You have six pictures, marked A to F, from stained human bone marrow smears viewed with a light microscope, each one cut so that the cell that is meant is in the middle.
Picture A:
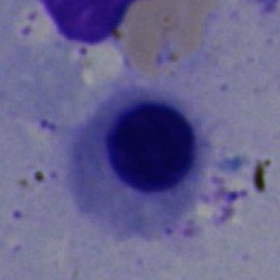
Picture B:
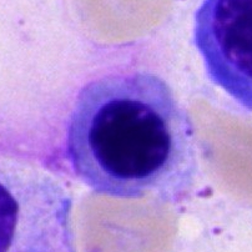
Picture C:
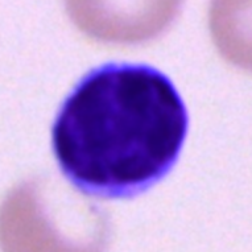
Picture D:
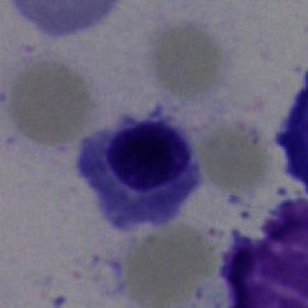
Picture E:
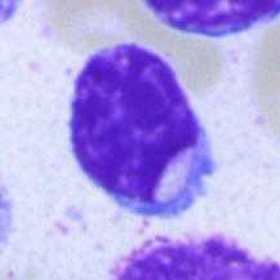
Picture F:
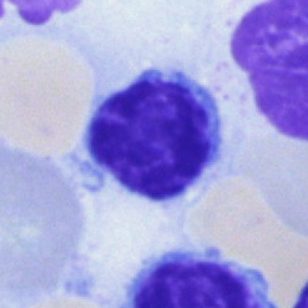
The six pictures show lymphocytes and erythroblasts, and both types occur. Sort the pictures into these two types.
A: erythroblast
B: erythroblast
C: lymphocyte
D: erythroblast
E: lymphocyte
F: lymphocyte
